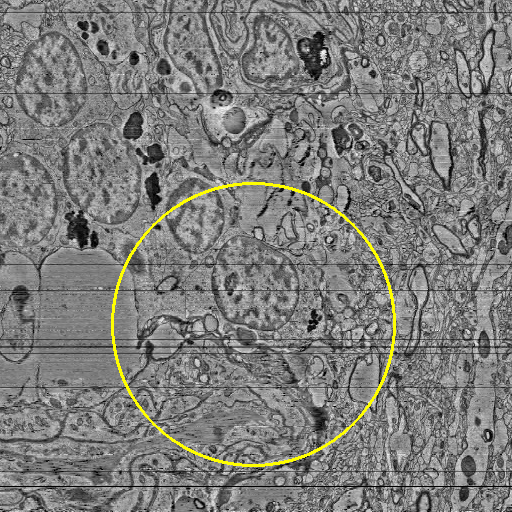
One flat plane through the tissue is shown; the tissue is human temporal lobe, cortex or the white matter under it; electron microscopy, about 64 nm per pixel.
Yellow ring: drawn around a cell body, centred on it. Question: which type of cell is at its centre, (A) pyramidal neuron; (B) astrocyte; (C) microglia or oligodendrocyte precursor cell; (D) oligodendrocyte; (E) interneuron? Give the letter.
D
